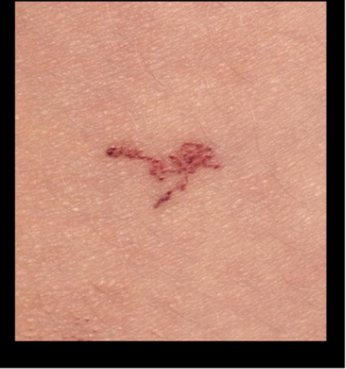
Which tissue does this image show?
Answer: Skin.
